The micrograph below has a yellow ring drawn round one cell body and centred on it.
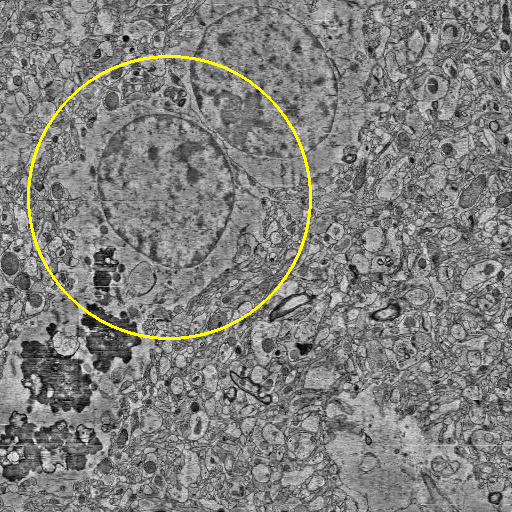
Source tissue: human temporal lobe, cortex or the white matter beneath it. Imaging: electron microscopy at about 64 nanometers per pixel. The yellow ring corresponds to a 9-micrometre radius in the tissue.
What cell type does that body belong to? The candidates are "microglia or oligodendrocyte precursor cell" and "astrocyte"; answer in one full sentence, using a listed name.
This is an astrocyte, the cell whose body lies at the centre of the ring.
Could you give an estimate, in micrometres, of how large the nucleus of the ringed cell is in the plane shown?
Roughly 10 by 9 micrometres is the size of the nucleus in this plane.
